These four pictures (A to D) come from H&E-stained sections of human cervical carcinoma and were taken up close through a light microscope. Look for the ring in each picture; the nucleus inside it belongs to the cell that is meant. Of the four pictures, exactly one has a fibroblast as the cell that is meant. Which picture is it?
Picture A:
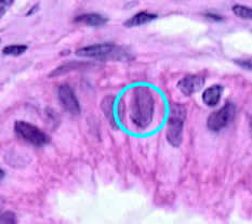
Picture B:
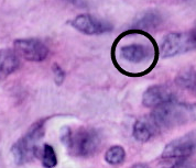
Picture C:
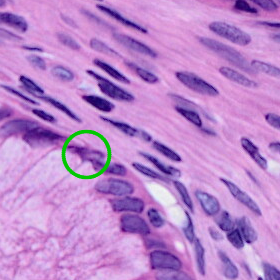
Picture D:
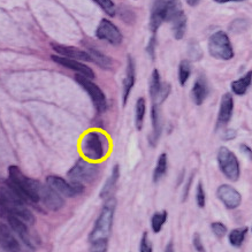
B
